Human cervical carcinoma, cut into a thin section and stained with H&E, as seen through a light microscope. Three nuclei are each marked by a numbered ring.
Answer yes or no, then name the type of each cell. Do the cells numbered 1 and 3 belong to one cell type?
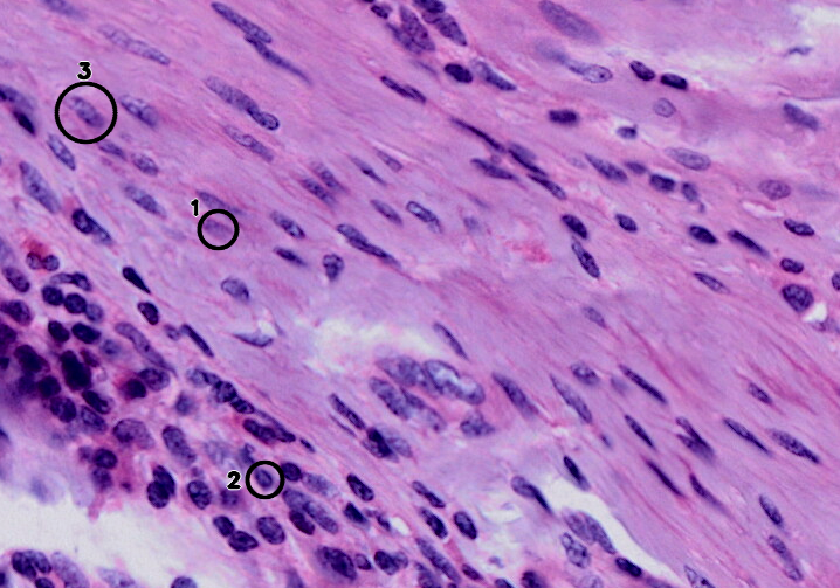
Yes, and to be precise, cells 1 and 3 are both smooth muscle cells.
